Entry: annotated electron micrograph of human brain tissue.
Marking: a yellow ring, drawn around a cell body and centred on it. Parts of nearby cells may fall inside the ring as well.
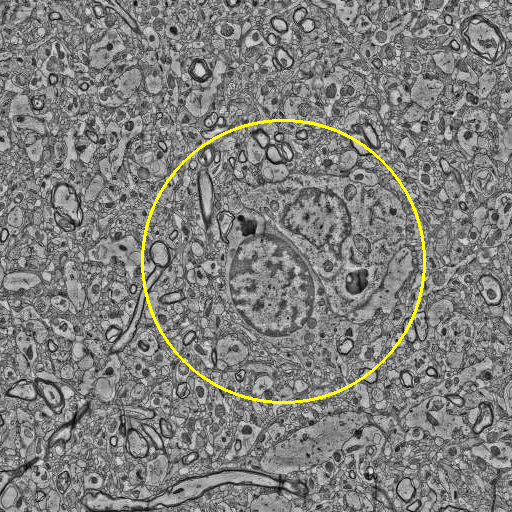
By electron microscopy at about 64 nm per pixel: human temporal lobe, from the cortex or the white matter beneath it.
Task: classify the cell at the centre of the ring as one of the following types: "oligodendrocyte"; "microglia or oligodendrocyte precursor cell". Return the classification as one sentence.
The marked cell is classified as an oligodendrocyte.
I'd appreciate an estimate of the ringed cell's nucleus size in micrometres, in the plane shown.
In this plane the nucleus measures roughly 7 by 5 micrometers.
